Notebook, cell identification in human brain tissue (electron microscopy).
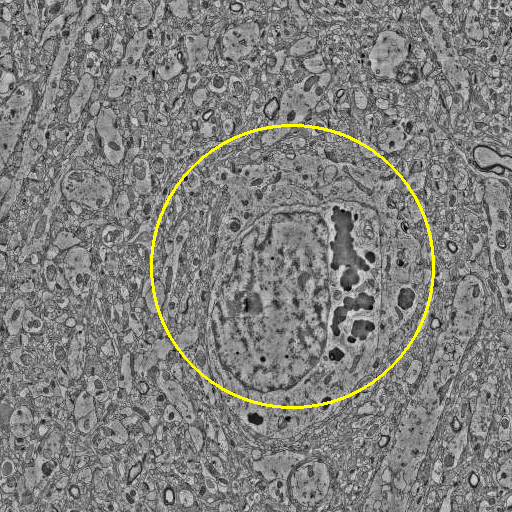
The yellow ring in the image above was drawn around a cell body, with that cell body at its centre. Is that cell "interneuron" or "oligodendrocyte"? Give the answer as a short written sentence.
The cell in the ring is an interneuron.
